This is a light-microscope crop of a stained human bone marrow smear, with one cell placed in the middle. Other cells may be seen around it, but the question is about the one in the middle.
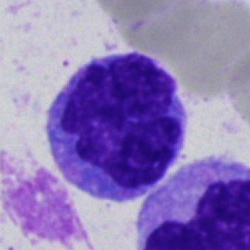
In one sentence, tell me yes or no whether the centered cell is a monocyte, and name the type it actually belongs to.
Yes, as regards the cell in the middle, it is a monocyte.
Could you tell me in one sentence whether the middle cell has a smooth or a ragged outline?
Smooth all around, the outline has no projections to report.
